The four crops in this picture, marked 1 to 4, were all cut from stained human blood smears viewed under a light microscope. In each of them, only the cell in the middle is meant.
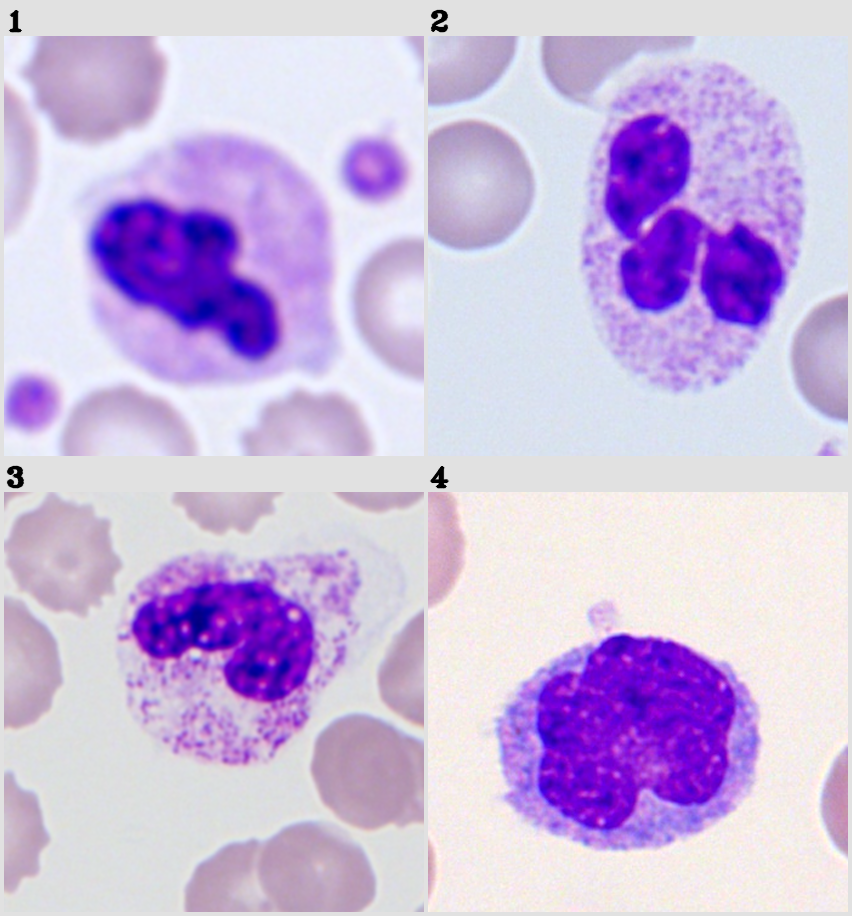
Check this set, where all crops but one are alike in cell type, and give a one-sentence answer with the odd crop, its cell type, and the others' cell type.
Crop 4 stands apart from the rest as a monocyte, the others all being segmented neutrophils.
